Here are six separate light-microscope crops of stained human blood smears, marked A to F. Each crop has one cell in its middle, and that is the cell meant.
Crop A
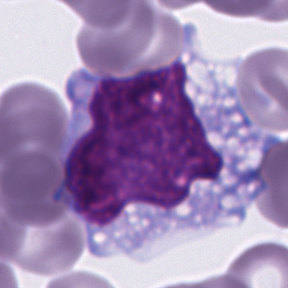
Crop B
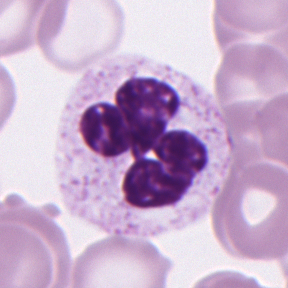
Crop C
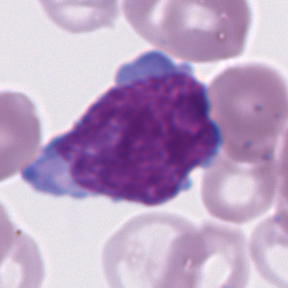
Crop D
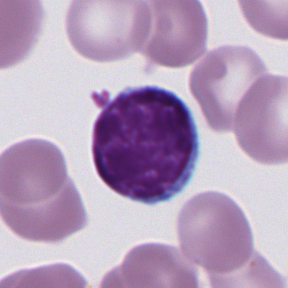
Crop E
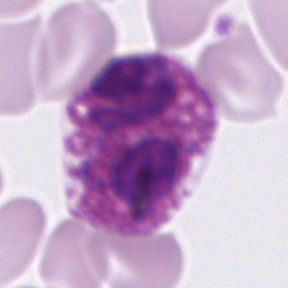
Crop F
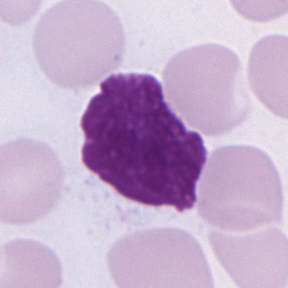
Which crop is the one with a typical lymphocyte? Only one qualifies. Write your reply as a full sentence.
Among these crops, crop D holds a typical lymphocyte.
